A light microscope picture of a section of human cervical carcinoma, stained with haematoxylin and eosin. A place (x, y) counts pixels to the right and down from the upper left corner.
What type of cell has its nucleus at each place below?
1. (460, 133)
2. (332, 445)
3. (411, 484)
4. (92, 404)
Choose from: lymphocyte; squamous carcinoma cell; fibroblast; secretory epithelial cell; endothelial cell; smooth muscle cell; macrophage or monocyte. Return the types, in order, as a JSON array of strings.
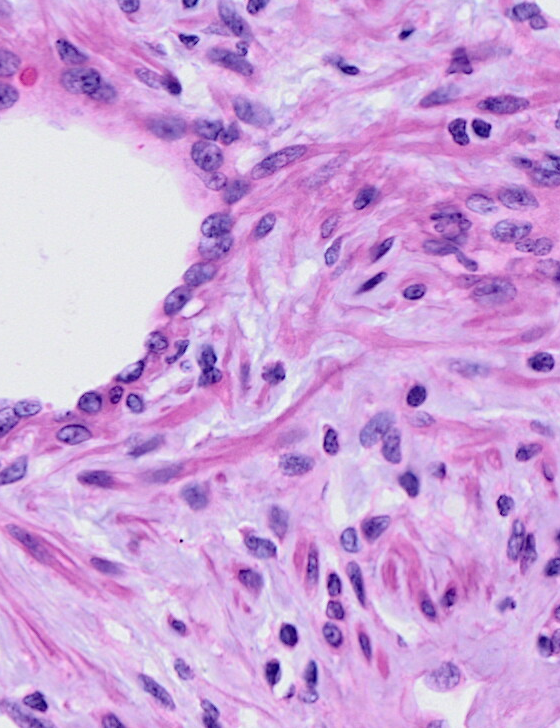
["lymphocyte", "lymphocyte", "lymphocyte", "endothelial cell"]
